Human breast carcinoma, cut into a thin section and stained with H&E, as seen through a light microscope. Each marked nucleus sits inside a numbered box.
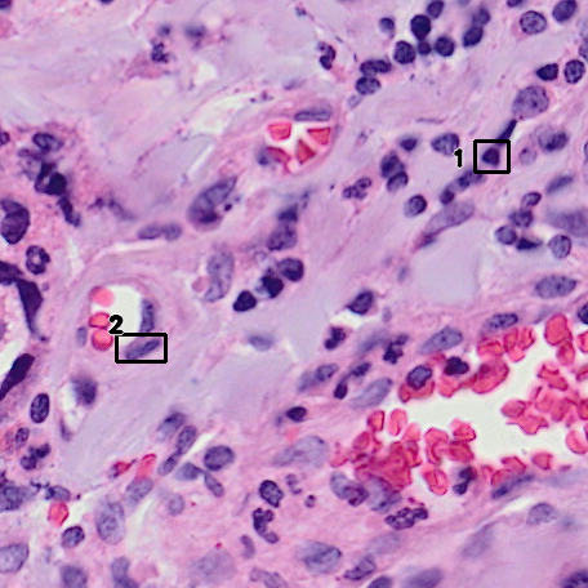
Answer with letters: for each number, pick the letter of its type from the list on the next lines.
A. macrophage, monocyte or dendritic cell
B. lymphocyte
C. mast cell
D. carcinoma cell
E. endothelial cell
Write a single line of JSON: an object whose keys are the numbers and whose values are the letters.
{"1": "B", "2": "E"}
